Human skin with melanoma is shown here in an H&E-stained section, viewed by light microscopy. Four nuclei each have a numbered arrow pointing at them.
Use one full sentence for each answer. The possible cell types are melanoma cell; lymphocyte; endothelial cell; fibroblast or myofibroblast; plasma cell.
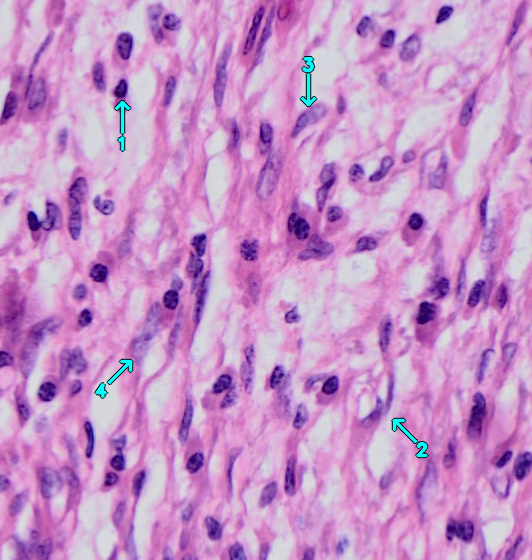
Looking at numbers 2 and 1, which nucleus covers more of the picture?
It is nucleus 2, which covers about 2 times the area of nucleus 1.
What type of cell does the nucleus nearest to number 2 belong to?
It is a plasma cell whose nucleus is nearest to number 2.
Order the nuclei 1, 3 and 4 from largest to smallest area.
From largest to smallest, the order is 3, 4, 1.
